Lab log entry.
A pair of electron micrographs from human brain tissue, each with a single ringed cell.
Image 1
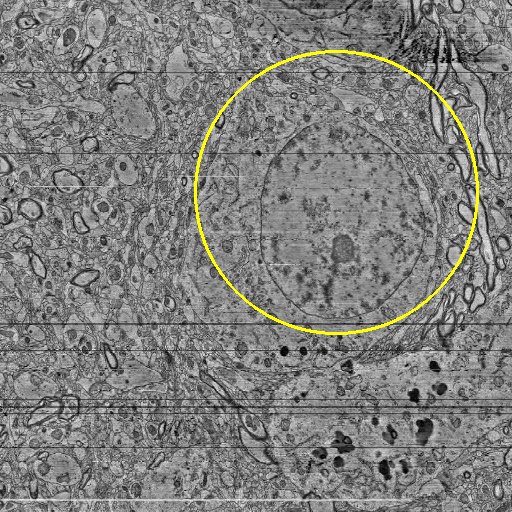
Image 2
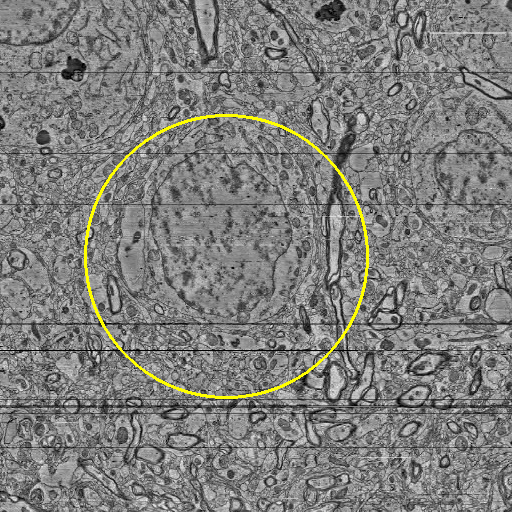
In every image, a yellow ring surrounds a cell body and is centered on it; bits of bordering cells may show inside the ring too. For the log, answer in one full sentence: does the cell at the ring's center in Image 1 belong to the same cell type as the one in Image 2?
Yes, the cells at the ring centers in Image 1 and Image 2 share one type.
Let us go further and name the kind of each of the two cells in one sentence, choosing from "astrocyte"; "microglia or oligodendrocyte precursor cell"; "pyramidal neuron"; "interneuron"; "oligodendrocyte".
Each cell, in the first picture and the second, is a pyramidal neuron.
